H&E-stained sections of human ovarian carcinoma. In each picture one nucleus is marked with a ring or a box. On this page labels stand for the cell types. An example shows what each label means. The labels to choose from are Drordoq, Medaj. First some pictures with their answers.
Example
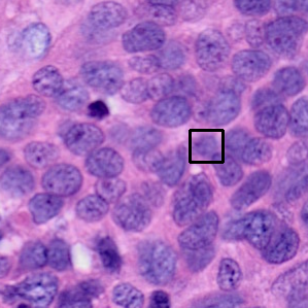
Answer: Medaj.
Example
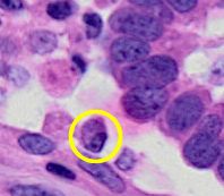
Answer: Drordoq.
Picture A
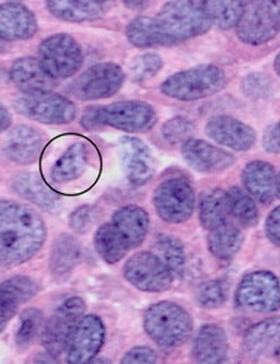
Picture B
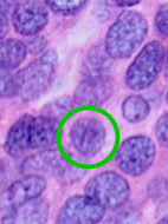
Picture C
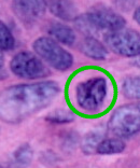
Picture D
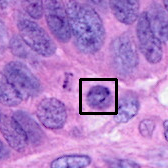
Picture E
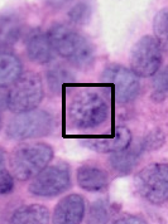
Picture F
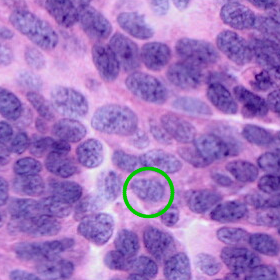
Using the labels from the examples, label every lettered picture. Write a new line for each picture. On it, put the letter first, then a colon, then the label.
A: Drordoq.
B: Medaj.
C: Drordoq.
D: Drordoq.
E: Medaj.
F: Medaj.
